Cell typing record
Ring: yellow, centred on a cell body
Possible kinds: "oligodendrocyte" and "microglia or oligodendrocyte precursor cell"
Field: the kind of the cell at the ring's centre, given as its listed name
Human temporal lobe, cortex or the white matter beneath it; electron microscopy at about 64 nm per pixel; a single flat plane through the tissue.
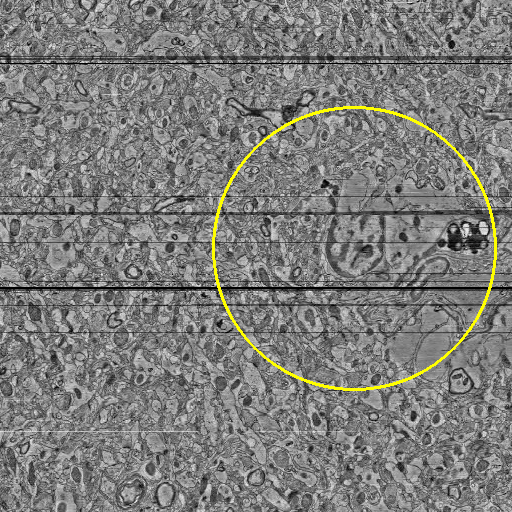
microglia or oligodendrocyte precursor cell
